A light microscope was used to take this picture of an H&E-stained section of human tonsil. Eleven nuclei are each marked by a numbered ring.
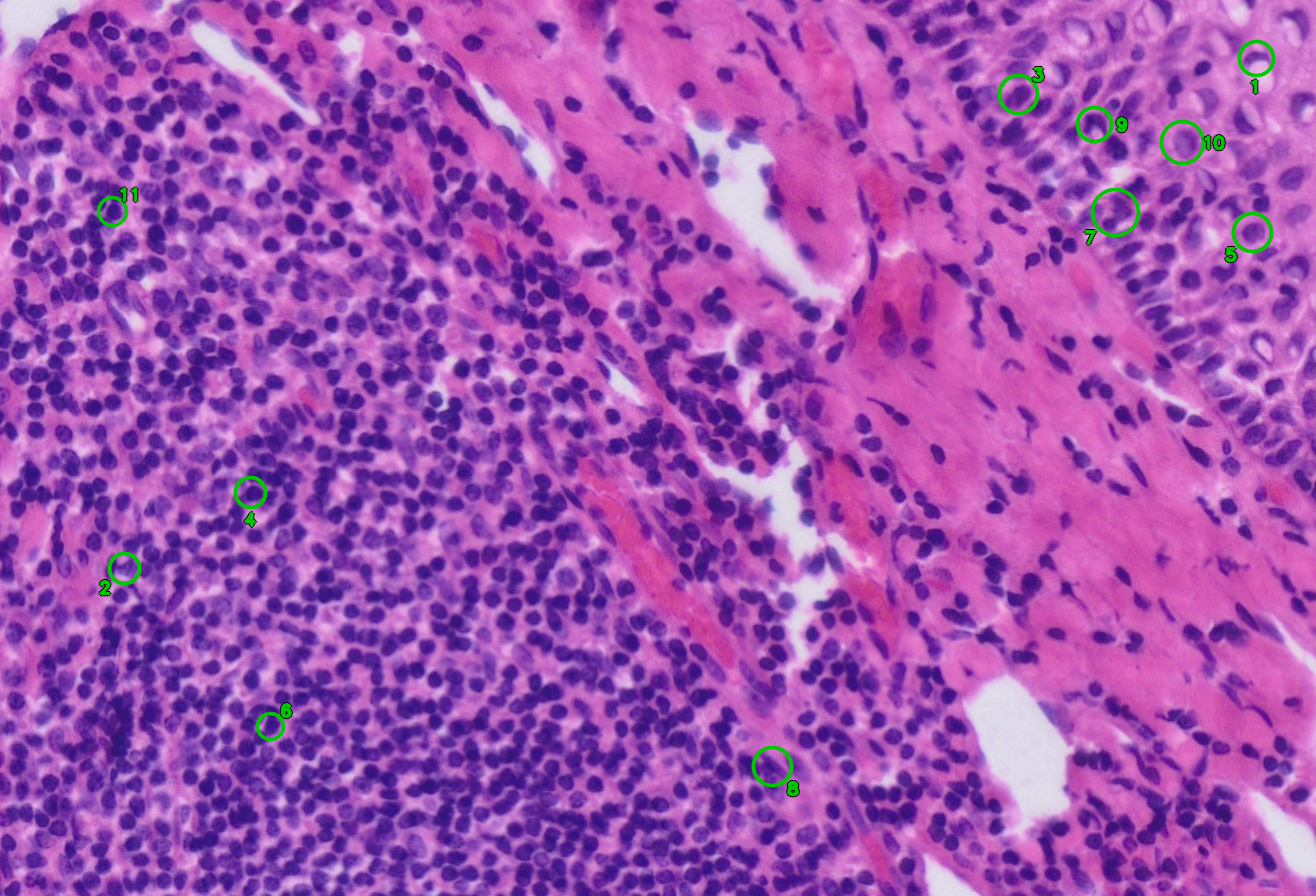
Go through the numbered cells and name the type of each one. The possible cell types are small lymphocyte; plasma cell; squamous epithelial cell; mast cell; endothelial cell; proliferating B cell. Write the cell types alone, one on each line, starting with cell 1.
squamous epithelial cell
small lymphocyte
squamous epithelial cell
small lymphocyte
squamous epithelial cell
small lymphocyte
squamous epithelial cell
endothelial cell
squamous epithelial cell
squamous epithelial cell
small lymphocyte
